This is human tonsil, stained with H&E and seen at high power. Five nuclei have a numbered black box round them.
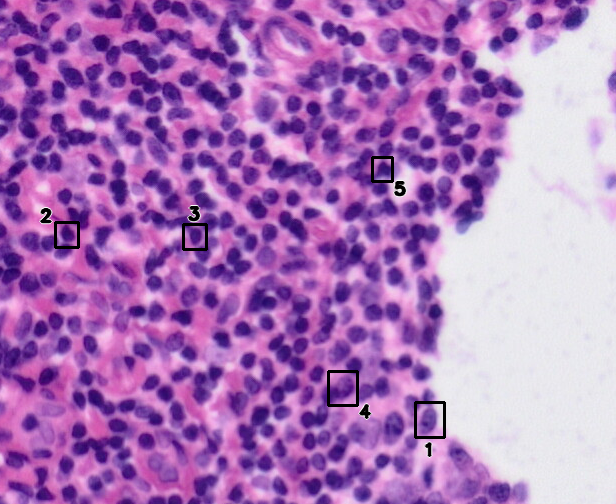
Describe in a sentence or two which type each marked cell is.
Cells 1 and 4 are proliferating B cells. Cells 2, 3 and 5 are small lymphocytes.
